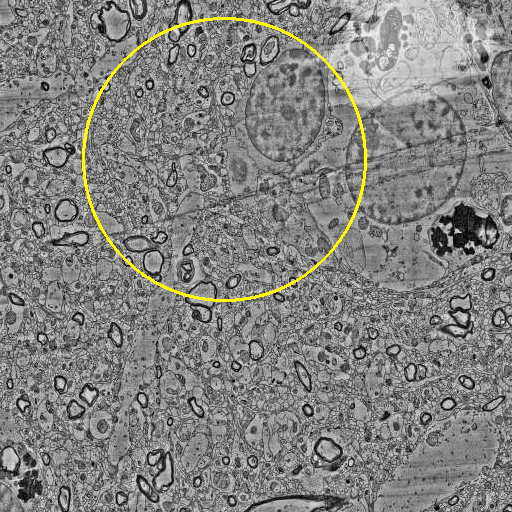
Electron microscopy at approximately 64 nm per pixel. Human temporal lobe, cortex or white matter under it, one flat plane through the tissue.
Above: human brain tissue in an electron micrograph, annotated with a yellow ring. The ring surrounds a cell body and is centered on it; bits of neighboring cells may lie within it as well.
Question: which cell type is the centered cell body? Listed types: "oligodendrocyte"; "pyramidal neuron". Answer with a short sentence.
The centered cell body is an oligodendrocyte.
